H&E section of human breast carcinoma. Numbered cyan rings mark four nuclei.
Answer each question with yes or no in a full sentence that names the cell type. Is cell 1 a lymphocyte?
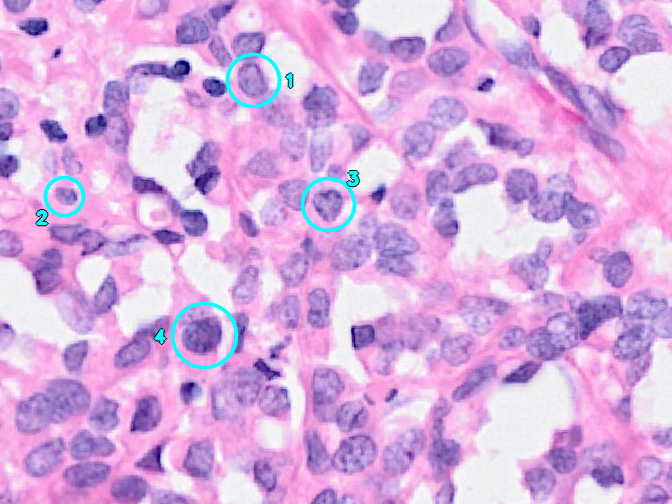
No, a carcinoma cell, not a lymphocyte, is the cell with number 1.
